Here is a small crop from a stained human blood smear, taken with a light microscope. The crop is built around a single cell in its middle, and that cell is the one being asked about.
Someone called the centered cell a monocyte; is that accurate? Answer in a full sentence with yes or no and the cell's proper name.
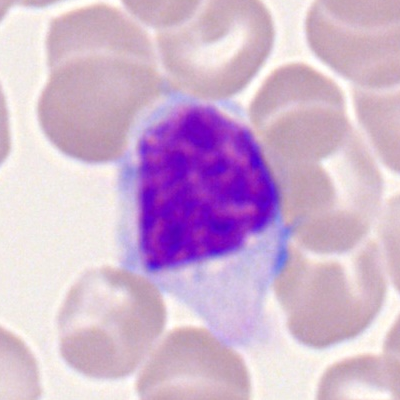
No, the central cell is designated a lymphocyte and not a monocyte.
